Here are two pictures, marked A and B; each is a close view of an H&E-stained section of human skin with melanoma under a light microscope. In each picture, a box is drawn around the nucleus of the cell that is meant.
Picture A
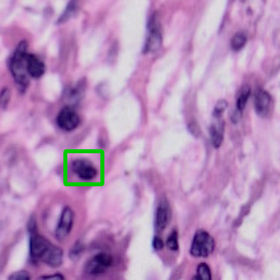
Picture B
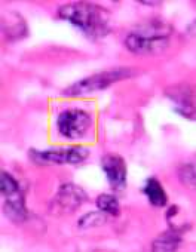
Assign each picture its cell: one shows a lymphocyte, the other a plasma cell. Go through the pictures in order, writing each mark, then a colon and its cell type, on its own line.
A: plasma cell
B: lymphocyte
